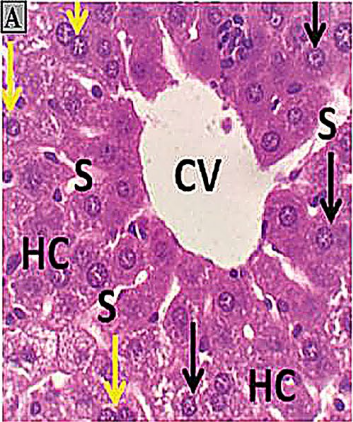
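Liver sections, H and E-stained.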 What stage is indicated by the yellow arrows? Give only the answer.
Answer: Binucleated.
